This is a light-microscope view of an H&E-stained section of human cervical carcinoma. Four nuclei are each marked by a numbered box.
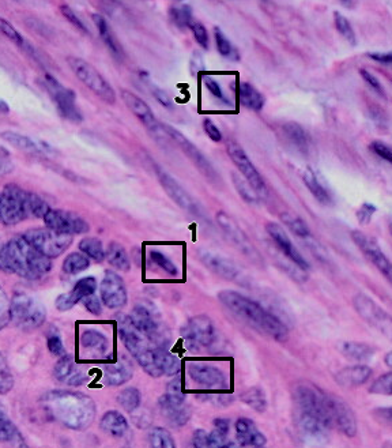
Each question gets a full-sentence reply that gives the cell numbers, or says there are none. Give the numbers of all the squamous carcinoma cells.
Within the section, cells numbered 2 and 4 are squamous carcinoma cells.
